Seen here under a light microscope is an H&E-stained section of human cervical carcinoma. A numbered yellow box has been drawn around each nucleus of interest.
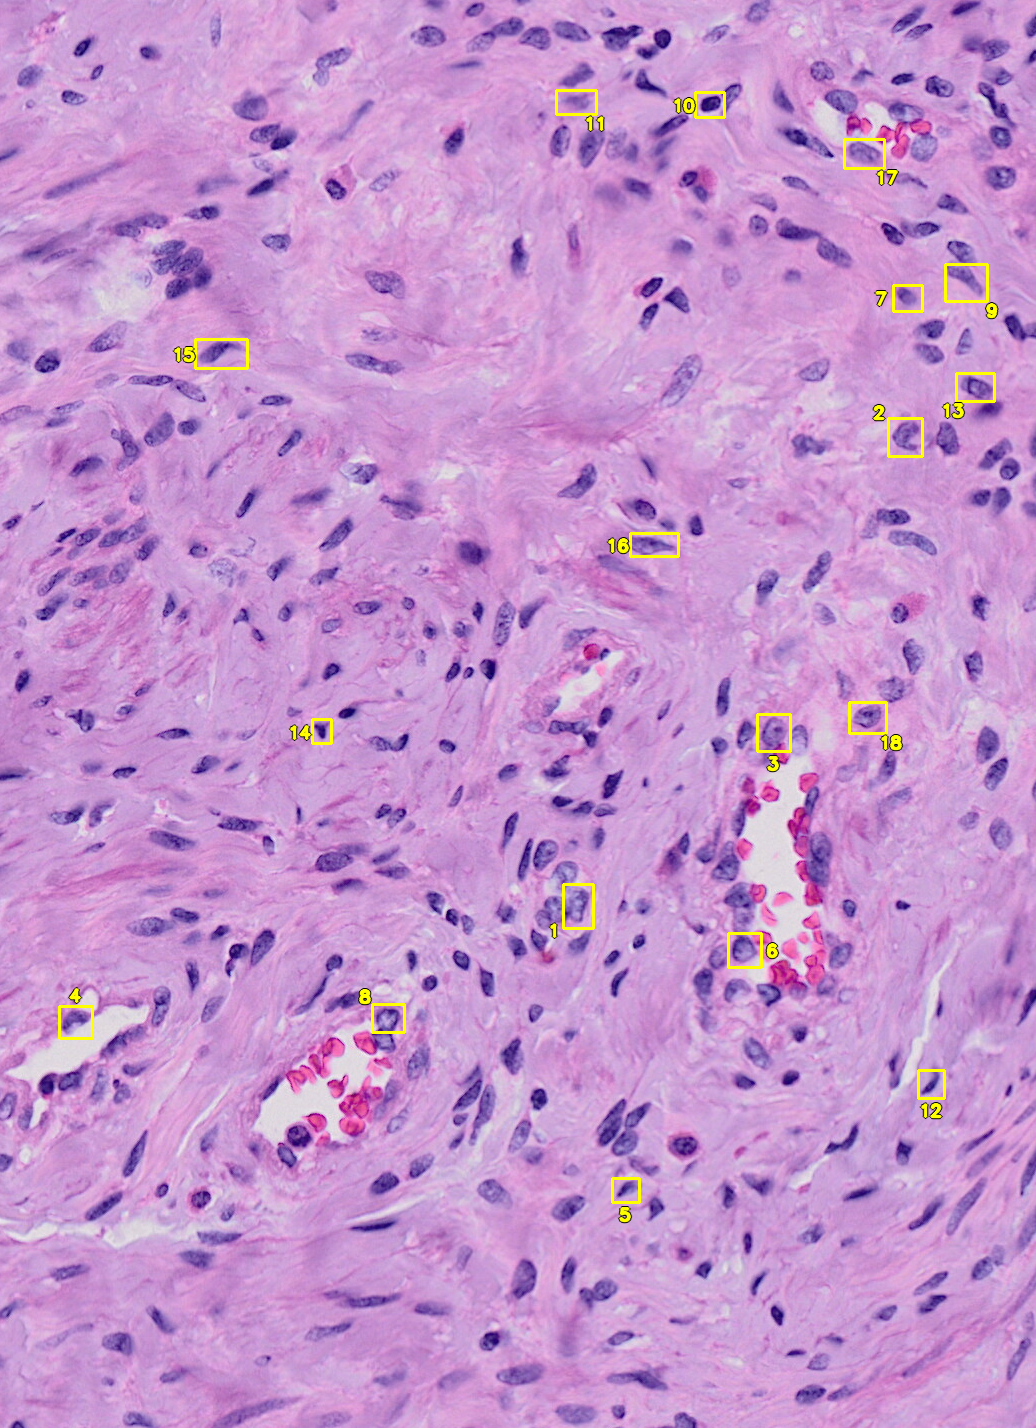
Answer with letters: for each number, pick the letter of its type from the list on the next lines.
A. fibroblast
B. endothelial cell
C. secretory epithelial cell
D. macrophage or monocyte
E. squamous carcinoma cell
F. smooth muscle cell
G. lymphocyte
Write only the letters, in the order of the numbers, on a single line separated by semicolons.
B; A; B; B; A; B; A; B; A; G; A; A; A; A; A; A; B; B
